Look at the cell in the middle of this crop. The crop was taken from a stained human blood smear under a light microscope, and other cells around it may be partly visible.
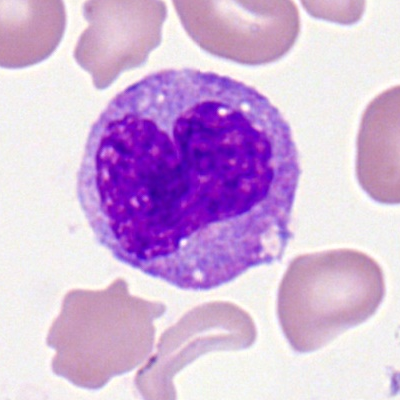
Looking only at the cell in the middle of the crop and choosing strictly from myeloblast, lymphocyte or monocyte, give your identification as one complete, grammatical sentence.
The cell of interest, in the center, is a monocyte.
